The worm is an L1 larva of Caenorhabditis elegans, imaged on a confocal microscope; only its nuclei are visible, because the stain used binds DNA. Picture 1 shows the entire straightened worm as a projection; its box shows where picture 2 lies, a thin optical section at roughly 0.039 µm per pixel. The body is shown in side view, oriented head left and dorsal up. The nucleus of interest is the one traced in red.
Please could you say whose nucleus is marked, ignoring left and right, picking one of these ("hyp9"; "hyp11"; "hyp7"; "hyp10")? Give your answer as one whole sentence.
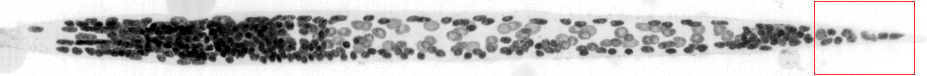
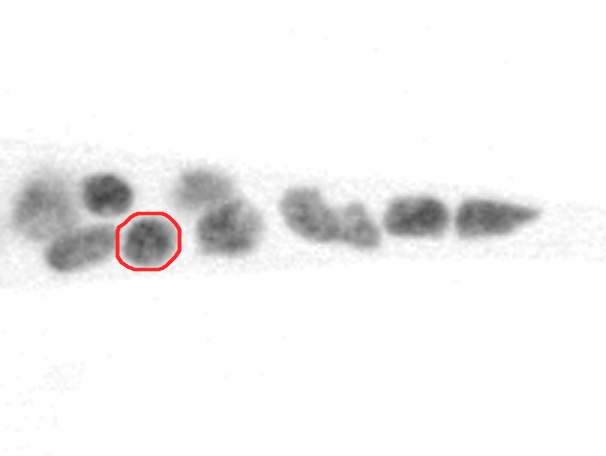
The cell whose nucleus is marked is hyp7, a hypodermal cell (hyp).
